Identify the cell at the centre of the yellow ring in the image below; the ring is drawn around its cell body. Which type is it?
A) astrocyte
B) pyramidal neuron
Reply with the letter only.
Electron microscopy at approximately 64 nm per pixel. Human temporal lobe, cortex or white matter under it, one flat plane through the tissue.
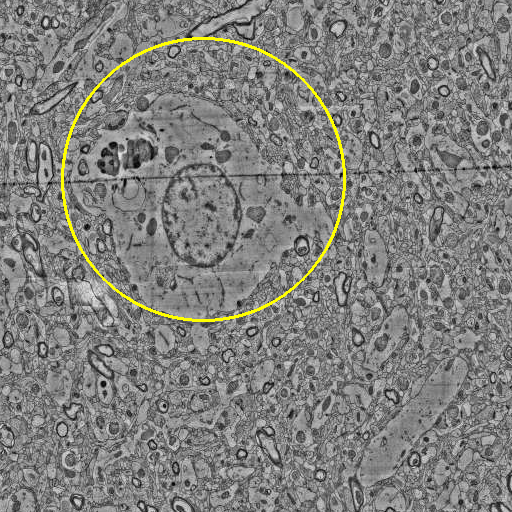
A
